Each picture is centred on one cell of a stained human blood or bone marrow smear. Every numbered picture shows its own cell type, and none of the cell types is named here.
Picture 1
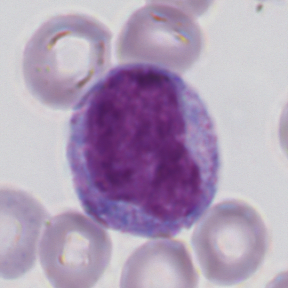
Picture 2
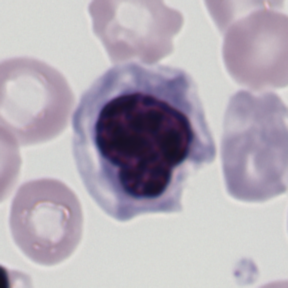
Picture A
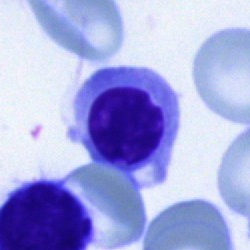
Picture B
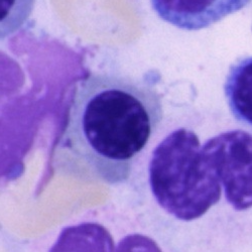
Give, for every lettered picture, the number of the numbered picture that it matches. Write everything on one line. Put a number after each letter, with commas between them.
A 2, B 2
